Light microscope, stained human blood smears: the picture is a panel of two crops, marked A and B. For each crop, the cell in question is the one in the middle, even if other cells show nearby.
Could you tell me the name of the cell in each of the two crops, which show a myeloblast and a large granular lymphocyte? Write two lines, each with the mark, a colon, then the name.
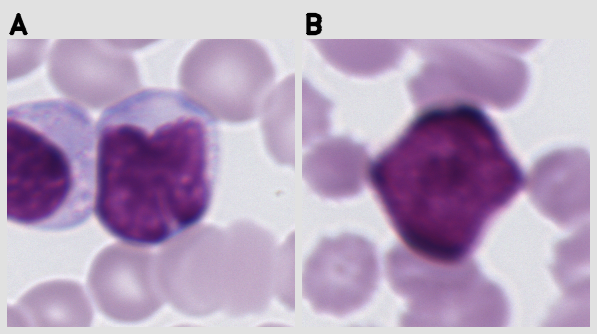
A: large granular lymphocyte
B: myeloblast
